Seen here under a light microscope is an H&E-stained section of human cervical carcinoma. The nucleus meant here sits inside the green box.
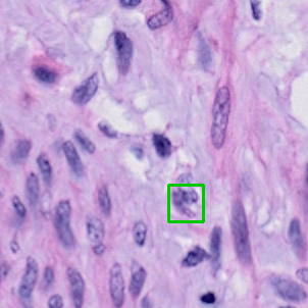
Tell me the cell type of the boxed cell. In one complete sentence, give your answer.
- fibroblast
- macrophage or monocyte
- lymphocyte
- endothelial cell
In this tissue sample, the boxed cell is a macrophage or monocyte.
